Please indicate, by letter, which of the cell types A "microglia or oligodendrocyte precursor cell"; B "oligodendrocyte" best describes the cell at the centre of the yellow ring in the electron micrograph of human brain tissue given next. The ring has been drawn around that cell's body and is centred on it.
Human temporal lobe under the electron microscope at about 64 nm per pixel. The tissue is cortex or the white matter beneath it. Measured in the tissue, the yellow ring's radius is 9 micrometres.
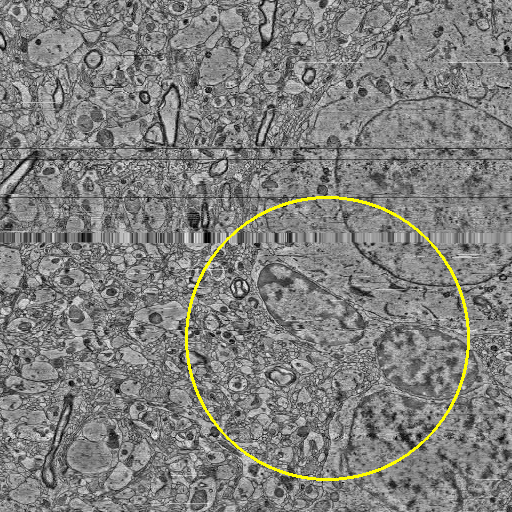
A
